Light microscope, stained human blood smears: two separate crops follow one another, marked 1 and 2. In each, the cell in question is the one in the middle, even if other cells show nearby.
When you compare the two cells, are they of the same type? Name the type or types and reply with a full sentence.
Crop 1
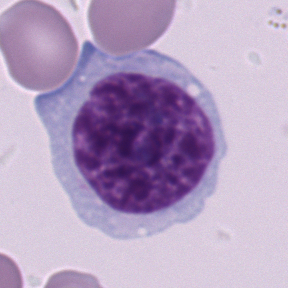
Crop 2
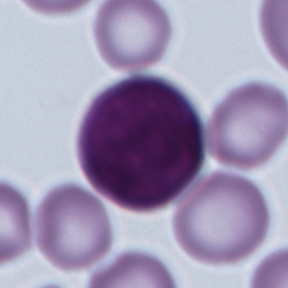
Yes, the two crops show myeloblasts, both of them.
